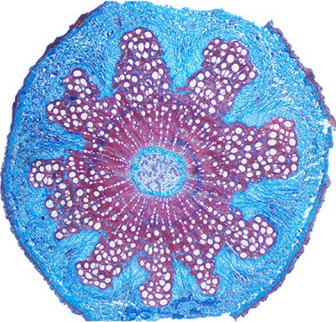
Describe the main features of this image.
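Stem in cross-section with a central pith surrounded by red-stained secondary xylem that is deeply indented by blue-stained phloem wedges, giving the xylem a lobed, star-like outline. The xylem holds many wide vessels and fine radial rays; the phloem wedges and outer bark stain blue.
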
